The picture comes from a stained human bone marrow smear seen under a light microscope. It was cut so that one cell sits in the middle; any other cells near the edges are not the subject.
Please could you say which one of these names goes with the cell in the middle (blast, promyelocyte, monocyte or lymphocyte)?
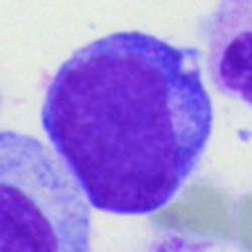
blast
